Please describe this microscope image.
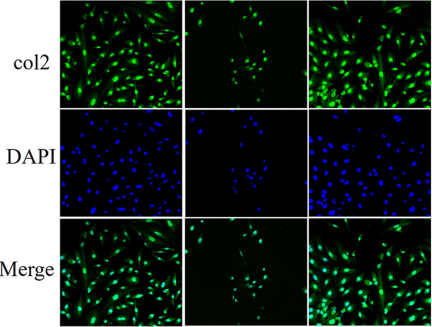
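This is a grid of nine small fluorescence images of cultured chondrocytes, arranged in three columns, with a green channel on top, a blue nuclear channel in the middle and the overlay below. In the left and right columns the cells lie fairly densely across the field; they are spread out, many elongated or spindle-to-polygonal in shape, with green filling the cell body around each nucleus. The blue nuclei are small, round to oval and evenly scattered, one per green cell in the overlay. The middle column looks quite different: only a few cells are present, the field is mostly dark, and the green in those cells is sparse and weak.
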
